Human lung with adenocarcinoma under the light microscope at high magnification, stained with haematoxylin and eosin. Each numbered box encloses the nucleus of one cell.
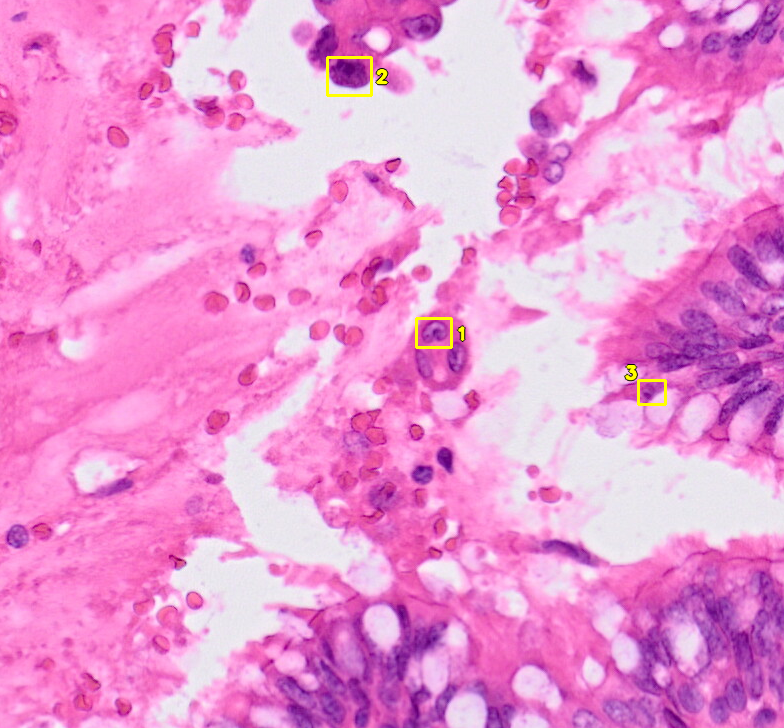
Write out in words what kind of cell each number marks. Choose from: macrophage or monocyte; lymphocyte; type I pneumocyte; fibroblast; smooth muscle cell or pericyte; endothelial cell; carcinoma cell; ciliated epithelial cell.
Cell 1 is a macrophage or monocyte. Cell 2 is a carcinoma cell. Cell 3 is a ciliated epithelial cell.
